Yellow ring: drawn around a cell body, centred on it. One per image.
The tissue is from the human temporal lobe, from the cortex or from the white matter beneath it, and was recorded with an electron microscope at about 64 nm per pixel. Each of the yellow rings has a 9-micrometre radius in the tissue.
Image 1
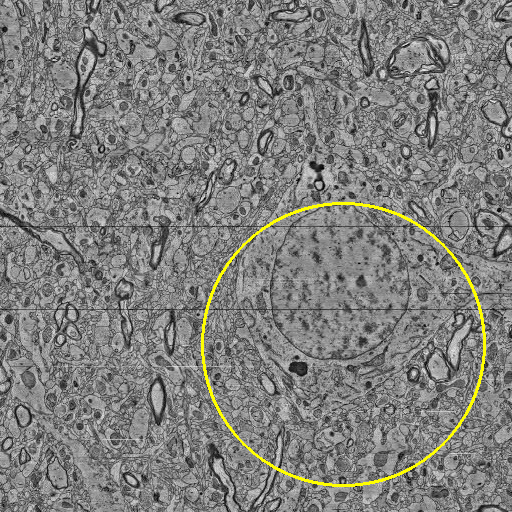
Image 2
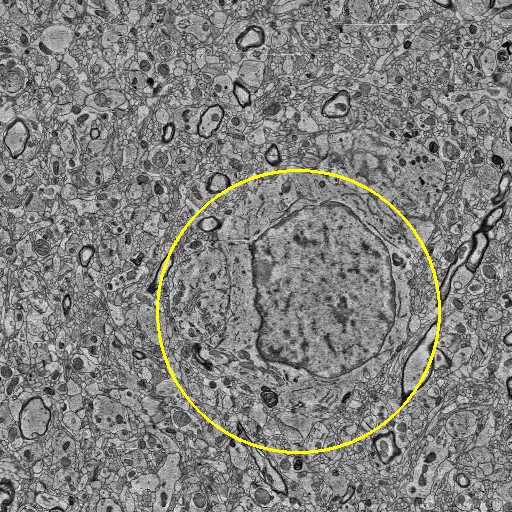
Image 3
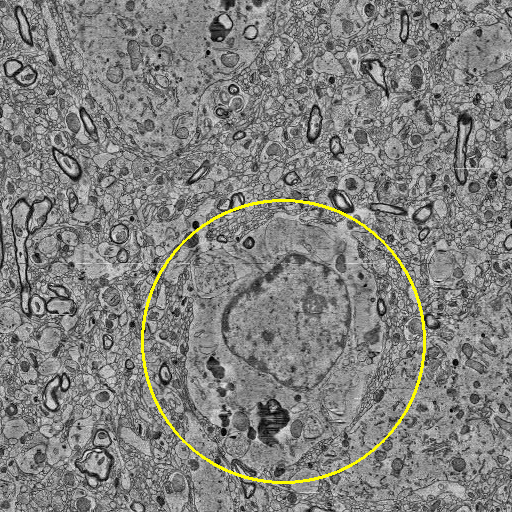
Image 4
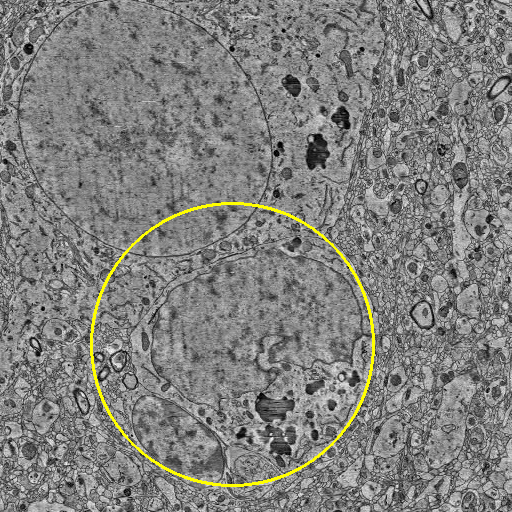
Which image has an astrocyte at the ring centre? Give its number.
3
